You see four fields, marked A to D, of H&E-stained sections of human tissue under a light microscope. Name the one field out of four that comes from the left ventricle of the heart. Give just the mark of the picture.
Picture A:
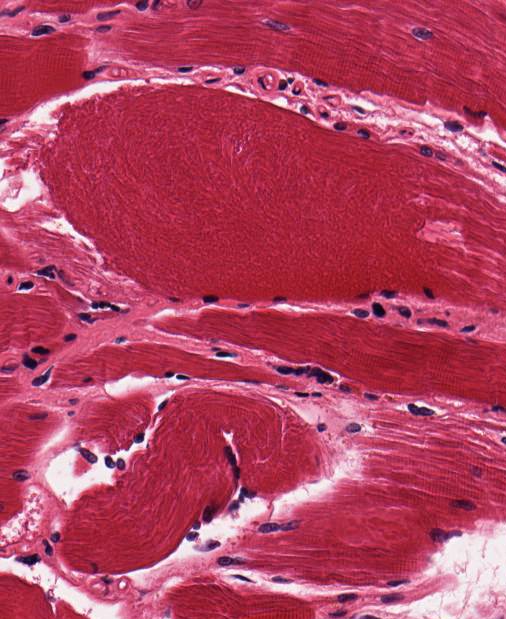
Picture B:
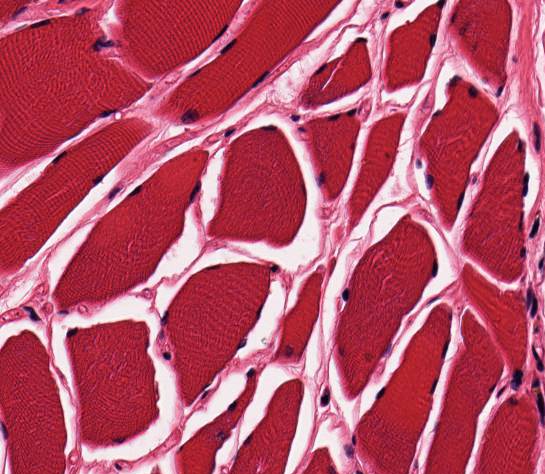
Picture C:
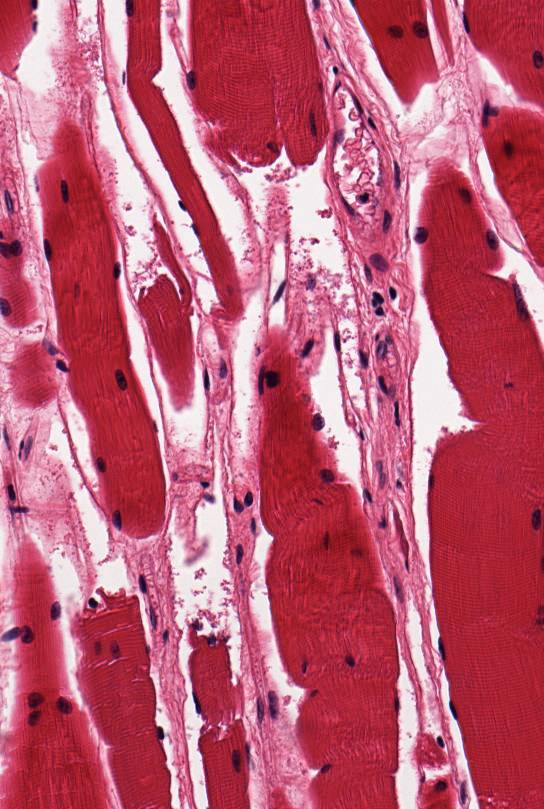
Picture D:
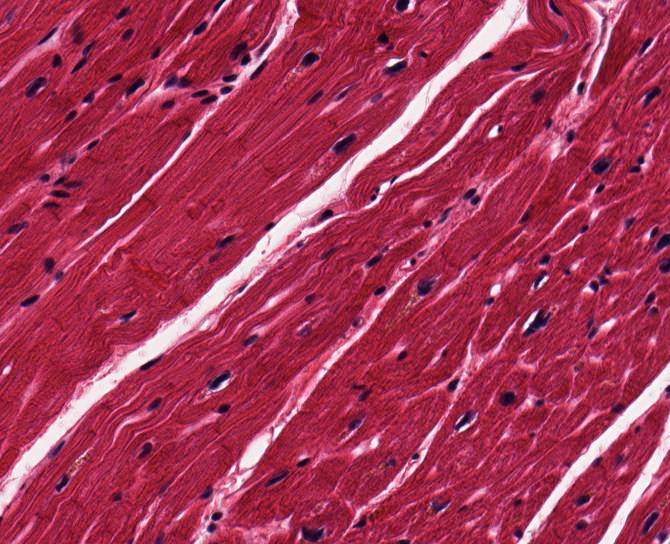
D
